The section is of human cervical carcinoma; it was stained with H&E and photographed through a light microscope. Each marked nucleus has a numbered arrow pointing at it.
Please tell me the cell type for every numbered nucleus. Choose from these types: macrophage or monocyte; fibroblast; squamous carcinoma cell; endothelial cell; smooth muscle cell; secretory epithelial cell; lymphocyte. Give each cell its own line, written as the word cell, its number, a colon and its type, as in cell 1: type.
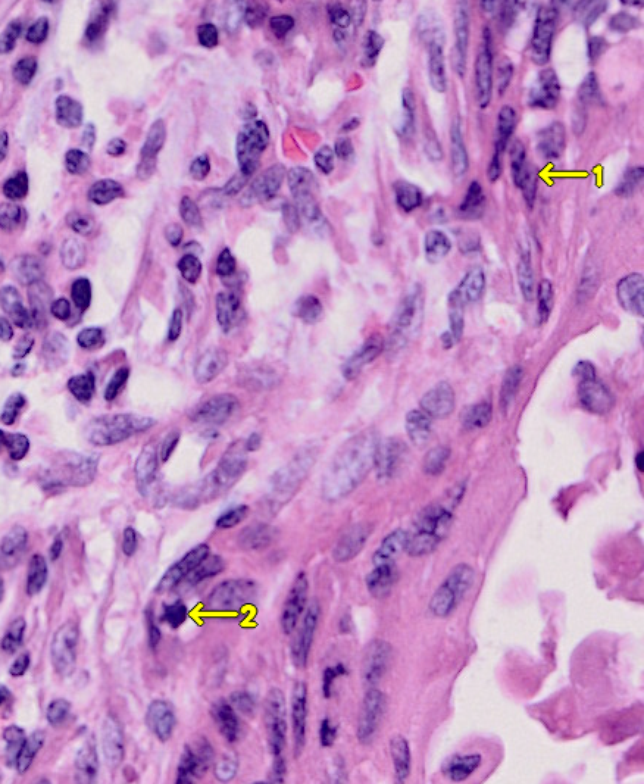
cell 1: squamous carcinoma cell
cell 2: lymphocyte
